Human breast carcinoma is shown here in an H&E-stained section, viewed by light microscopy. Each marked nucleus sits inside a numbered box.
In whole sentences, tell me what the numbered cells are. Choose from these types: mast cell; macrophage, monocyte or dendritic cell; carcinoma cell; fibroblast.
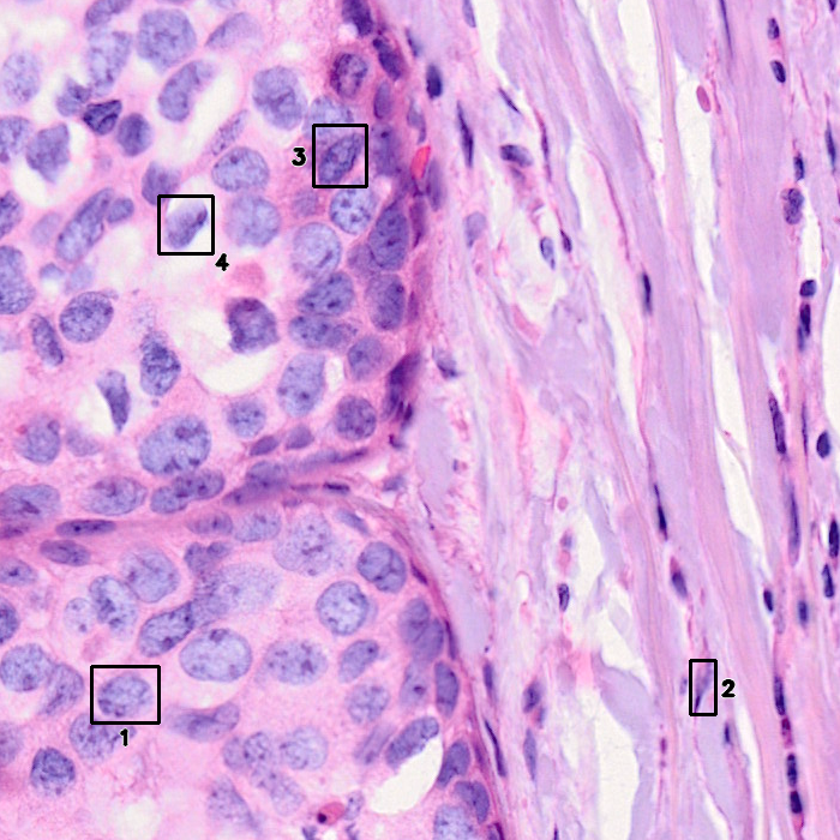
Cell 1 is a carcinoma cell, cell 2 is a fibroblast, cell 3 is a carcinoma cell and cell 4 is a carcinoma cell.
